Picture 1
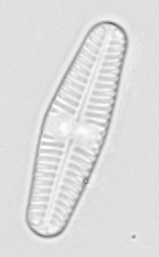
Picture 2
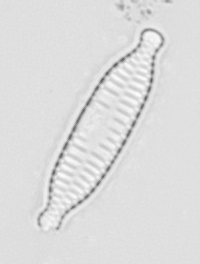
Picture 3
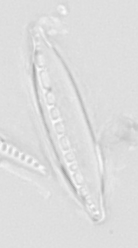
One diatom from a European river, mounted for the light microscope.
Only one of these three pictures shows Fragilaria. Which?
Picture 2.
